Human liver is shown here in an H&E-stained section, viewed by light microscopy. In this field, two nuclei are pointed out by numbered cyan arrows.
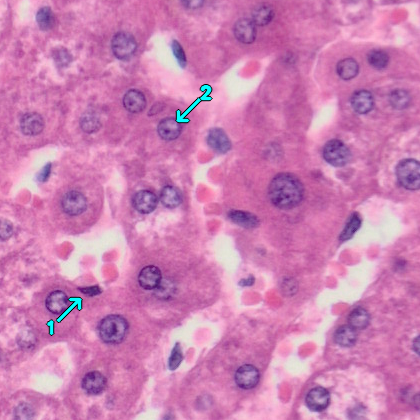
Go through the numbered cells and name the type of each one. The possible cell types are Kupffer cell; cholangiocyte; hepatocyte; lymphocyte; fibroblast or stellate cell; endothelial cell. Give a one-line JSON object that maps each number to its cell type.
{"1": "fibroblast or stellate cell", "2": "hepatocyte"}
